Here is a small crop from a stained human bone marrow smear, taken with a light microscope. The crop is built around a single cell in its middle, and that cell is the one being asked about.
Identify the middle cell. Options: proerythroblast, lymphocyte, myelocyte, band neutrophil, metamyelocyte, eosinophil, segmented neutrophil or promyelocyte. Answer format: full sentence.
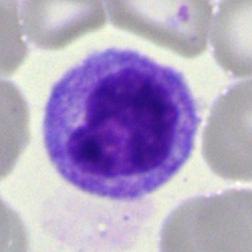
Regarding the central cell, it is a metamyelocyte.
